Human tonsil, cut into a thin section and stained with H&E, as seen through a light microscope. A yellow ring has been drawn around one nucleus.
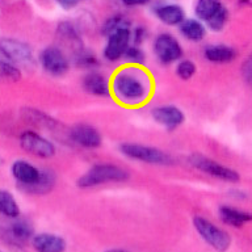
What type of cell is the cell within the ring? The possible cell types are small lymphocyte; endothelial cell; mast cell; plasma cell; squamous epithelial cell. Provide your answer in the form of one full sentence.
The cell type represented by the cell within the ring is that of a mast cell.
